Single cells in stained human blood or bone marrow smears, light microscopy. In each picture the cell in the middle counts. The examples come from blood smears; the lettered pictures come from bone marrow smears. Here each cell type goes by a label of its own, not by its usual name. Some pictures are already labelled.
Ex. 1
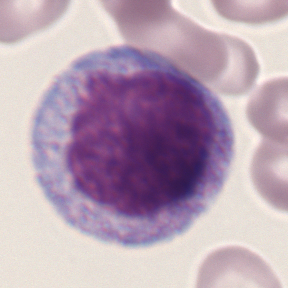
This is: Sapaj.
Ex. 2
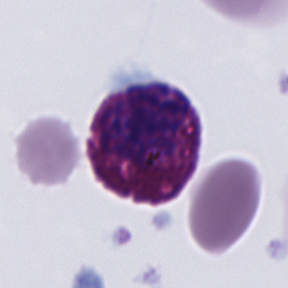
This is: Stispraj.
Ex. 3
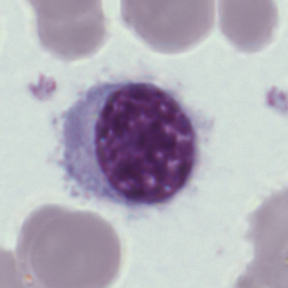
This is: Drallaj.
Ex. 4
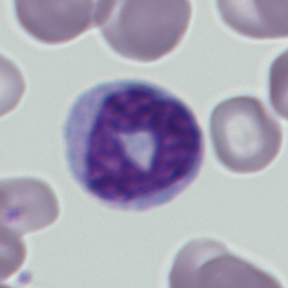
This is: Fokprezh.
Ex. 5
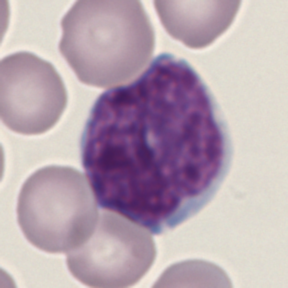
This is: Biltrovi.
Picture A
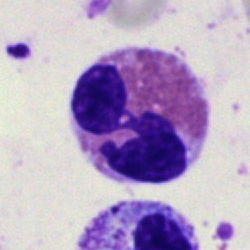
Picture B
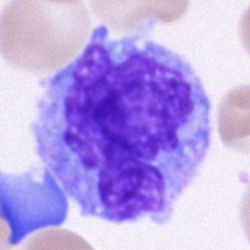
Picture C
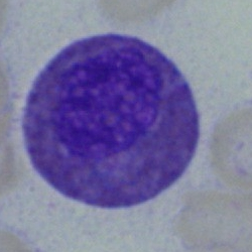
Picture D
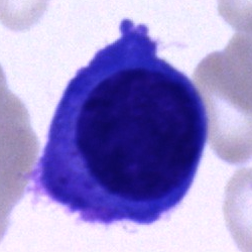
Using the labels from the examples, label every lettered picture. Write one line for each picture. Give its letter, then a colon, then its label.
A: Stispraj.
B: Fokprezh.
C: Stispraj.
D: Drallaj.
